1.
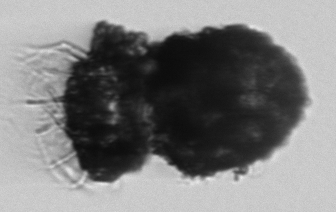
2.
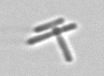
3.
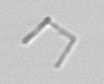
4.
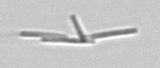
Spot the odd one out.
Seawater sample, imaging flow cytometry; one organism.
Picture 1 (a tintinnid among Nanoneis).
